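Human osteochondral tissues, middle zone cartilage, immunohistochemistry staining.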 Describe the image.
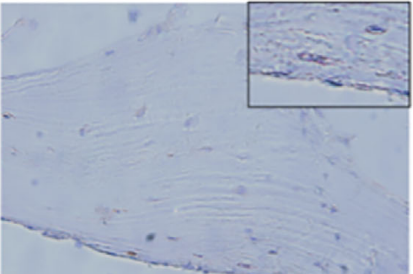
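A broad piece of the underlying bone shows parallel lamellae with osteocytes lying flattened in their lacunae along the layers. A thin line of cells runs along the bone surface at the lower edge, and the inset shows elongated osteocytes between the lamellae.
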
